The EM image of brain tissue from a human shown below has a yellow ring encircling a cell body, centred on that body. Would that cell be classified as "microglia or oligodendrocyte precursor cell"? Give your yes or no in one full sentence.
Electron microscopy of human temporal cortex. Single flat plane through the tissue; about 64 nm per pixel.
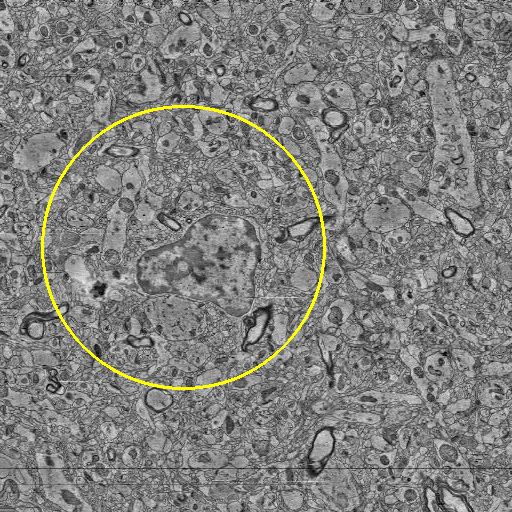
Yes, the cell at the centre of the ring in the picture falls in that class.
